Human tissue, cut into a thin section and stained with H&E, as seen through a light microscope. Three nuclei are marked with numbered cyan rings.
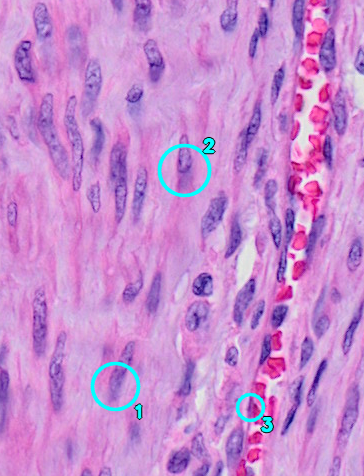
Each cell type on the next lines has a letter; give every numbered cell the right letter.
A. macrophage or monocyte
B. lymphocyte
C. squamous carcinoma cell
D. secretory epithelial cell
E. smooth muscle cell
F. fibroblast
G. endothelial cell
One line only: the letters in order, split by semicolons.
E; E; G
